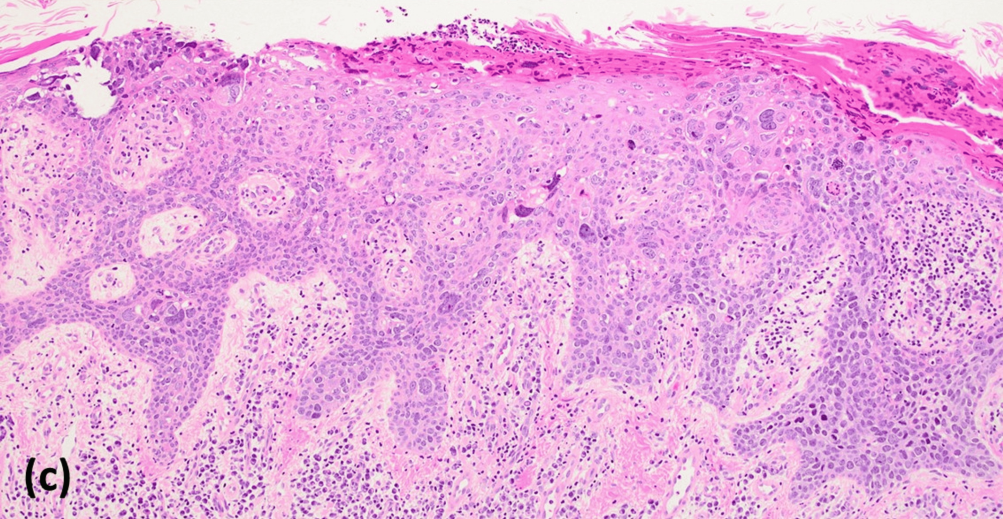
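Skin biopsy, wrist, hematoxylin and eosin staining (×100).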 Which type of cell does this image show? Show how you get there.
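The epidermis is thickened, with broad, irregular downward projections. Epidermal cells have enlarged, variably sized nuclei throughout the layer. The normal orderly maturation from base to surface is lost.
Atypical keratinocytes.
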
